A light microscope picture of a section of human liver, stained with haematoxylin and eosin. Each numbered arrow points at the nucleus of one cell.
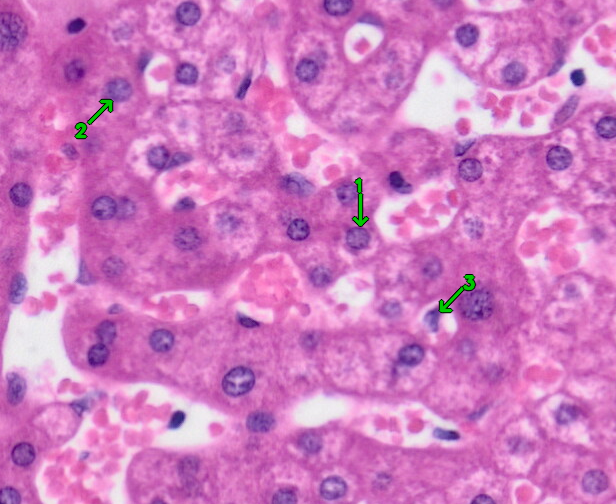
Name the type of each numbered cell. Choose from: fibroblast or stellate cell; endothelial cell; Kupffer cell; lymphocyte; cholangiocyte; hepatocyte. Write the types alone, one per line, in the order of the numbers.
hepatocyte
hepatocyte
Kupffer cell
